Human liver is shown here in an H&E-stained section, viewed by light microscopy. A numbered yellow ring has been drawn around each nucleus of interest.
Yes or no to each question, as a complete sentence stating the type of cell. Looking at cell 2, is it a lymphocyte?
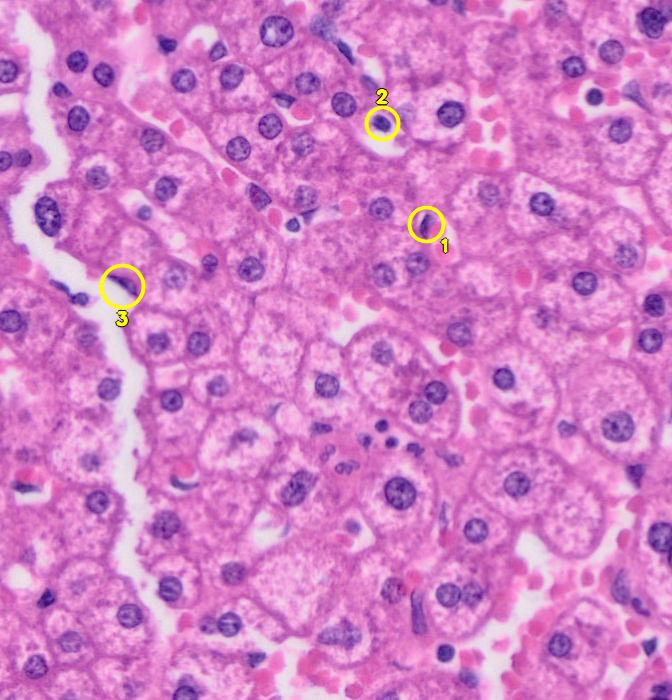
Yes, of the numbered cells, number 2 is a lymphocyte.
